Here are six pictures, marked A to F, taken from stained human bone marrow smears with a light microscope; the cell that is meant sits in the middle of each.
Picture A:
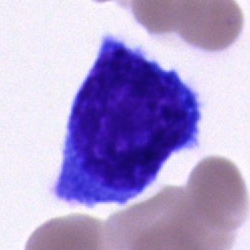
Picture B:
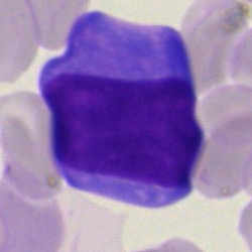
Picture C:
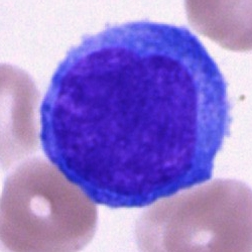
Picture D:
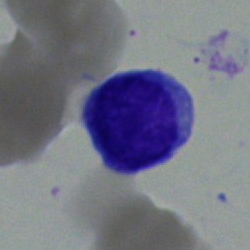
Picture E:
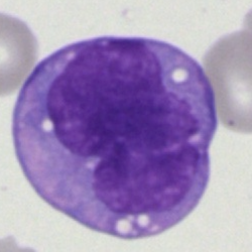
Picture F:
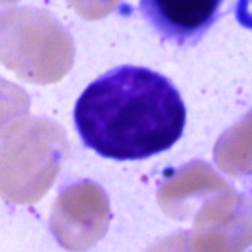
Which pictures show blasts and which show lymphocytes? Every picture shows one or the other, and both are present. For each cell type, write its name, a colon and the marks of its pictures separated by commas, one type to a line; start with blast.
blast: A, B, C, E
lymphocyte: D, F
